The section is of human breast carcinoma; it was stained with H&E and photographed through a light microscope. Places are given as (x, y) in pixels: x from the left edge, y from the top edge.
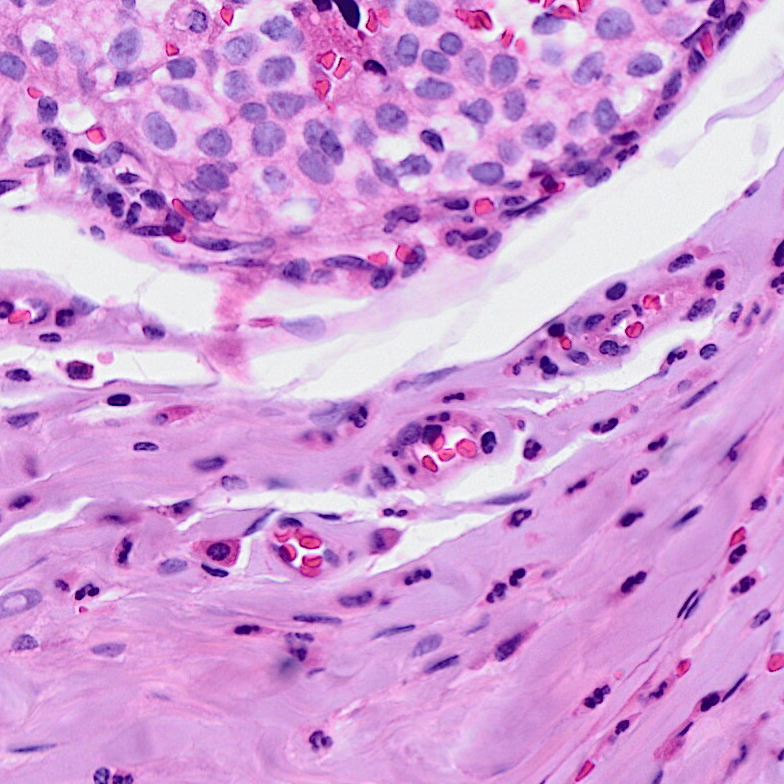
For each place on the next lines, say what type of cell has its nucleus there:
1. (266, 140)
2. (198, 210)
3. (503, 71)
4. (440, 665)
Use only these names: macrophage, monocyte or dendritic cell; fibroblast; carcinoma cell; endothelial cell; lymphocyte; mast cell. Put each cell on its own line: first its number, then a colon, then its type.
1: carcinoma cell
2: endothelial cell
3: carcinoma cell
4: fibroblast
